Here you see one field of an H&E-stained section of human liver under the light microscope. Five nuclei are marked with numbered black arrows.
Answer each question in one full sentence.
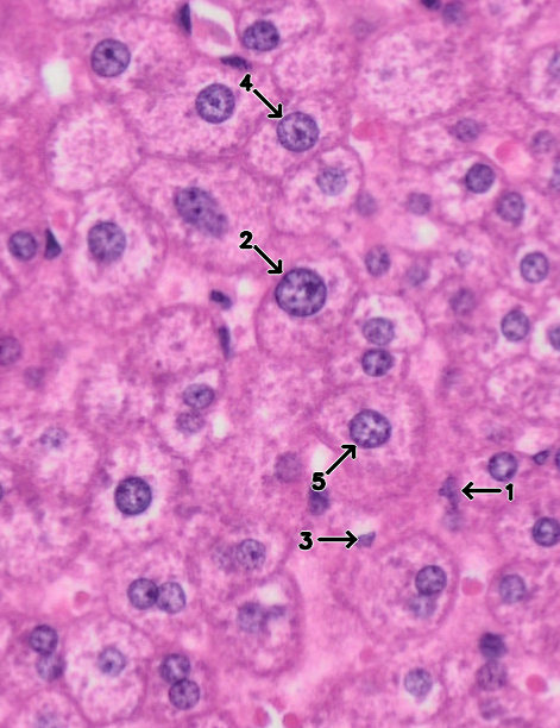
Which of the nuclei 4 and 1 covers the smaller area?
Nucleus 1 covers less area, with nucleus 4 about 3 times as large.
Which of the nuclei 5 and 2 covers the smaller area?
The smaller nucleus is 5, and 2 covers roughly 1.5 times its area.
